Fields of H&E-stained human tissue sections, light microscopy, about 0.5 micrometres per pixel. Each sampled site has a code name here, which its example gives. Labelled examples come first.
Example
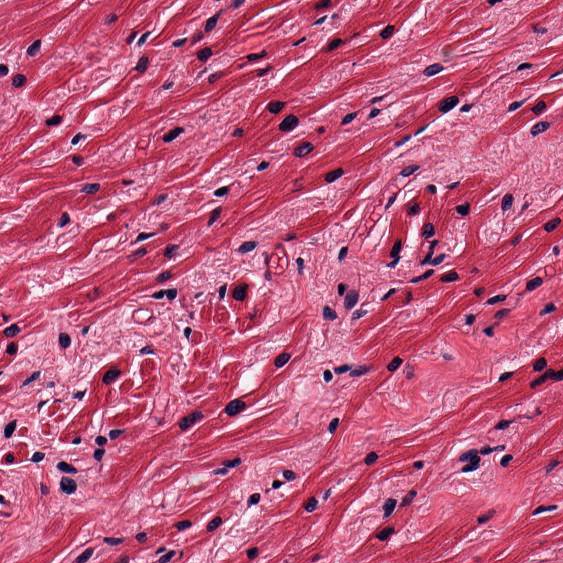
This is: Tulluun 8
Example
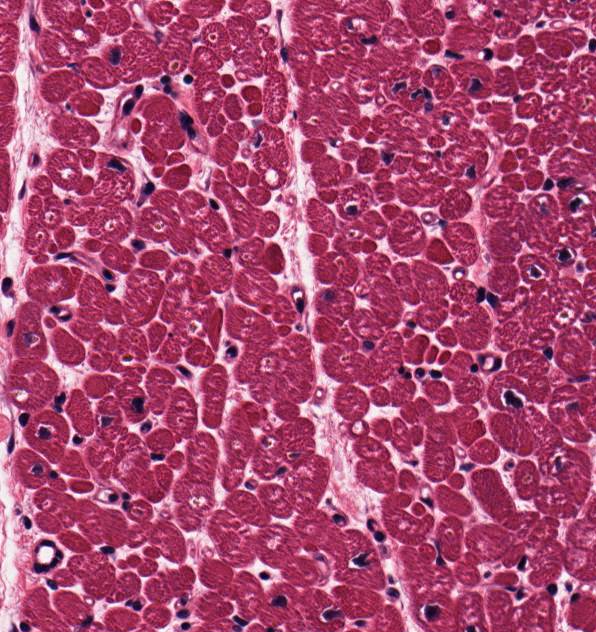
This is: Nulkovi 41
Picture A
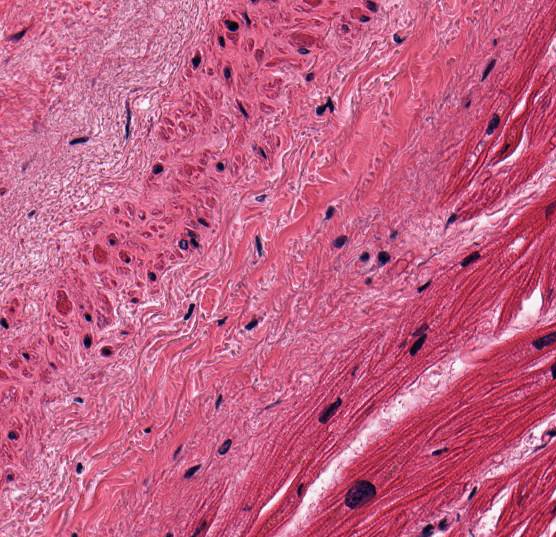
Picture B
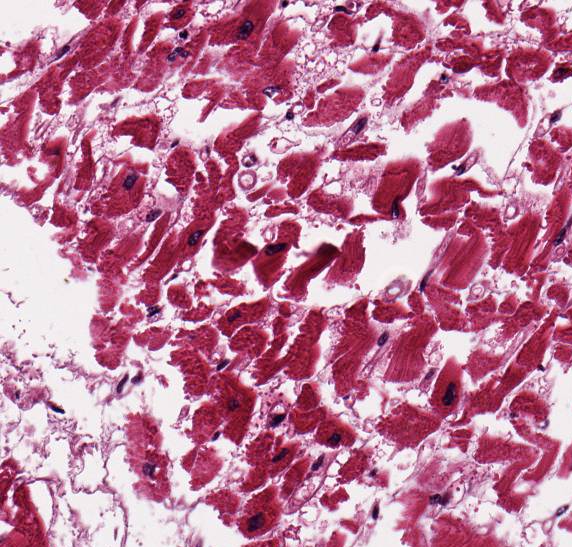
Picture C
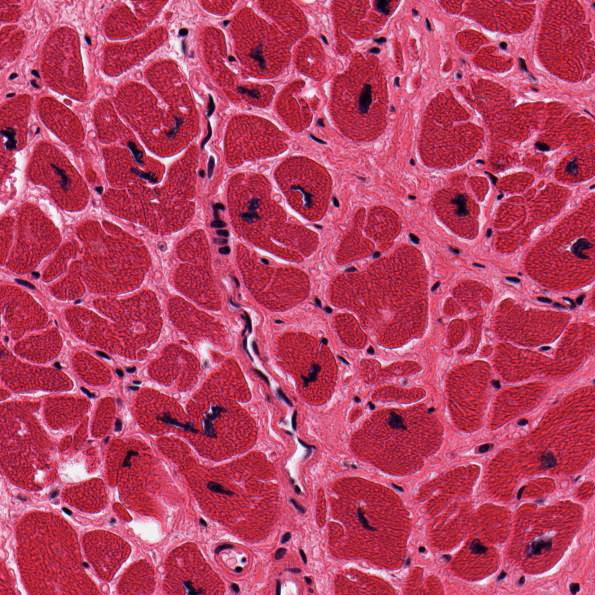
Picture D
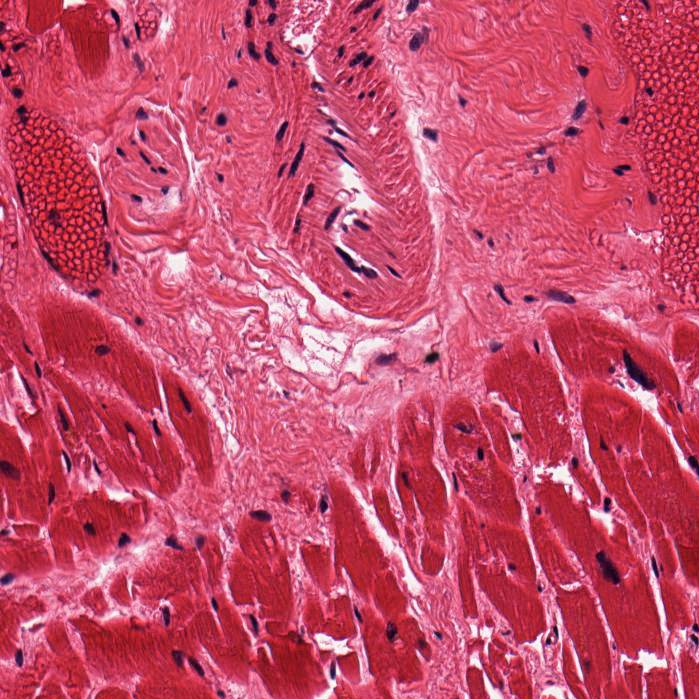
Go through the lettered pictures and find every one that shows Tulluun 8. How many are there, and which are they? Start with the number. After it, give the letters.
Count: 1 (A)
